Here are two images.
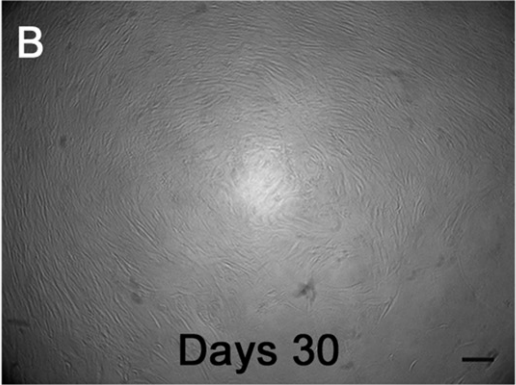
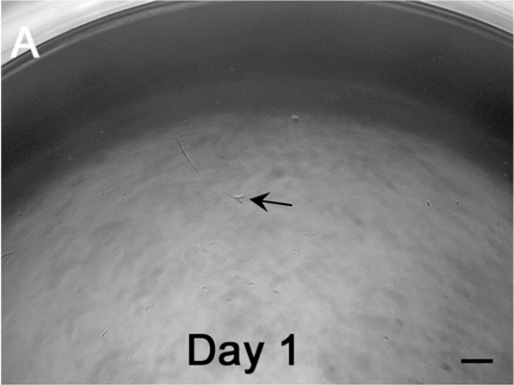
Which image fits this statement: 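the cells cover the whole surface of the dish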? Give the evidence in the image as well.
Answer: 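The first image. First image: elongated cells fill the entire field in a continuous layer. Second image: the surface is almost empty, with only one small cell marked by an arrow.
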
